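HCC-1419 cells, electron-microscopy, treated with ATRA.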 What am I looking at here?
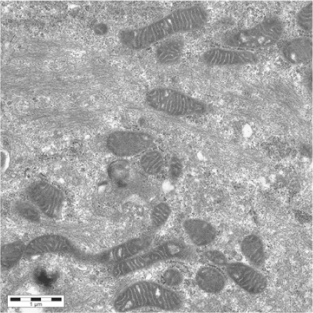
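This transmission electron micrograph shows cell cytoplasm with numerous mitochondria, some rounded and others elongated or branched. Their outer membranes are intact and their dense matrix is crossed by regular cristae. Between them runs a fine granular cytoplasm with a band of filamentous material across the middle.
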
